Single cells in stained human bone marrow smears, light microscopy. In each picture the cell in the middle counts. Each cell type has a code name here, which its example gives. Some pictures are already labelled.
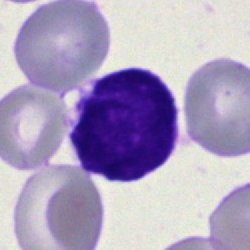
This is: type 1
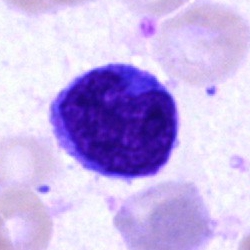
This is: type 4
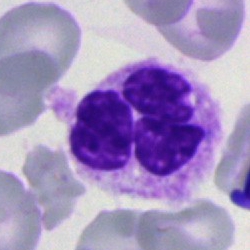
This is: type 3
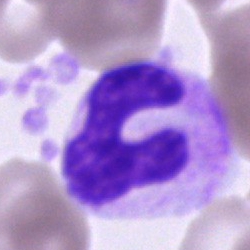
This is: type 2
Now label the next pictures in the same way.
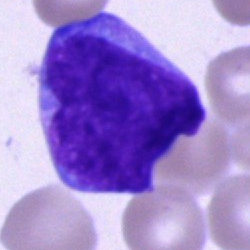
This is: type 4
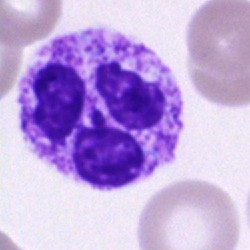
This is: type 3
